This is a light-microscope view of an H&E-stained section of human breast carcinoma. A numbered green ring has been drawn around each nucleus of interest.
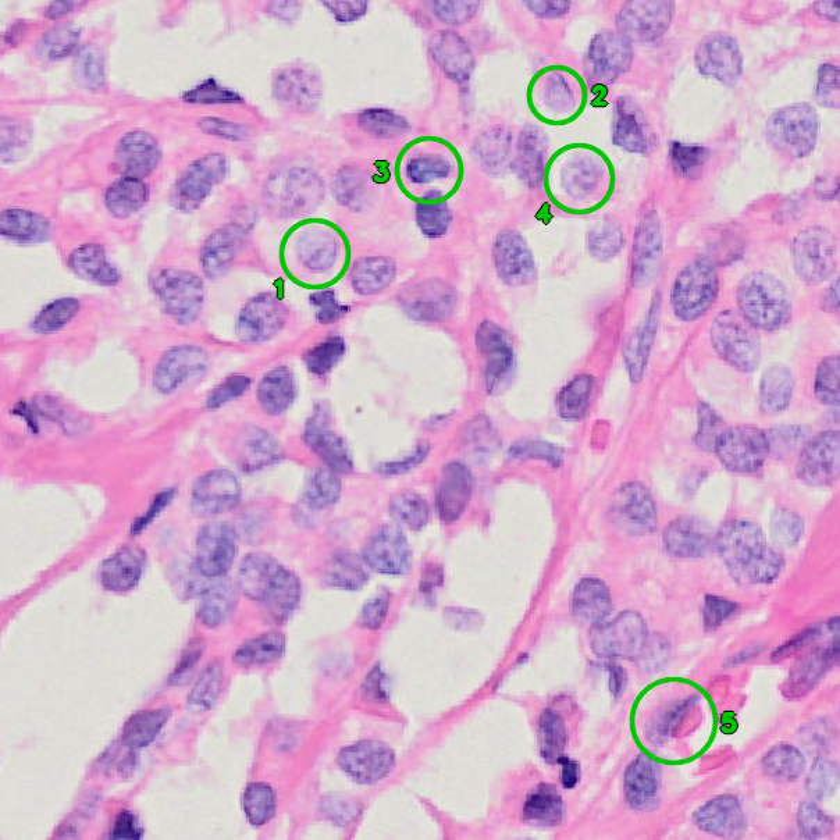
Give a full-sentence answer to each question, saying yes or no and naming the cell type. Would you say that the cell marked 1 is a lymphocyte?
No, the cell labelled number 1 is not a lymphocyte; it is a carcinoma cell.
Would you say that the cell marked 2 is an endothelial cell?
No, the cell denoted 2 is a carcinoma cell rather than an endothelial cell.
